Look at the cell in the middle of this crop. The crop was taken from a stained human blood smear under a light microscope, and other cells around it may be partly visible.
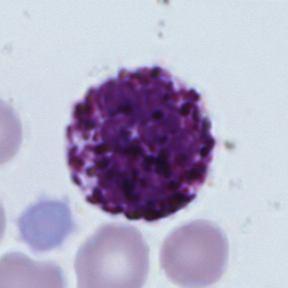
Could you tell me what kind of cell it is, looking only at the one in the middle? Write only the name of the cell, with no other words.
basophil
